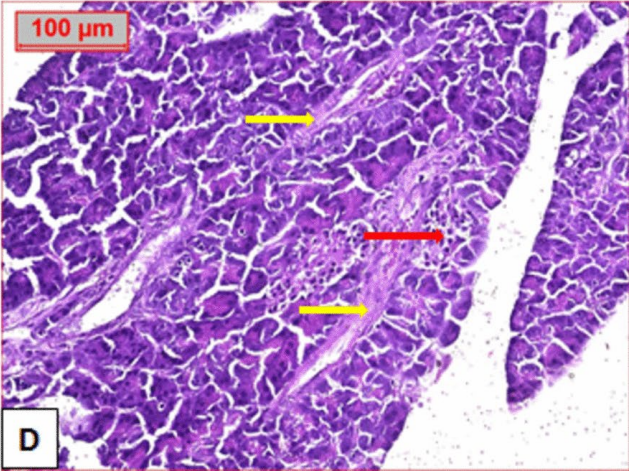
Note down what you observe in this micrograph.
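This is pancreatic tissue with deep purple exocrine acini arranged in lobules. Pale pink, wavy bands of fibrous tissue run between the lobules along elongated channel-like spaces, consistent with perivascular fibrosis. Near one of these bands lies a small, loosely arranged, paler cluster of cells amid the acini. The fibrous bands are far less cellular than the surrounding glandular tissue.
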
